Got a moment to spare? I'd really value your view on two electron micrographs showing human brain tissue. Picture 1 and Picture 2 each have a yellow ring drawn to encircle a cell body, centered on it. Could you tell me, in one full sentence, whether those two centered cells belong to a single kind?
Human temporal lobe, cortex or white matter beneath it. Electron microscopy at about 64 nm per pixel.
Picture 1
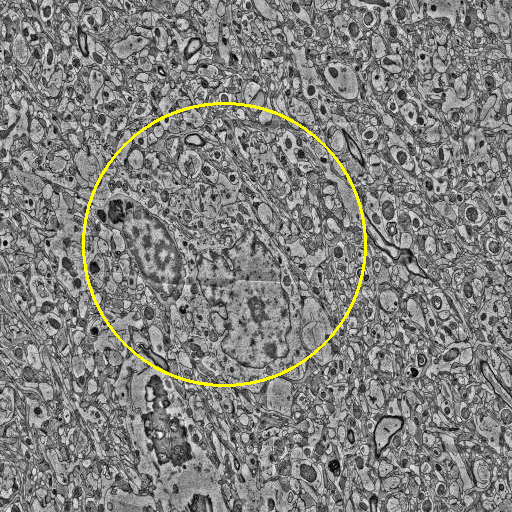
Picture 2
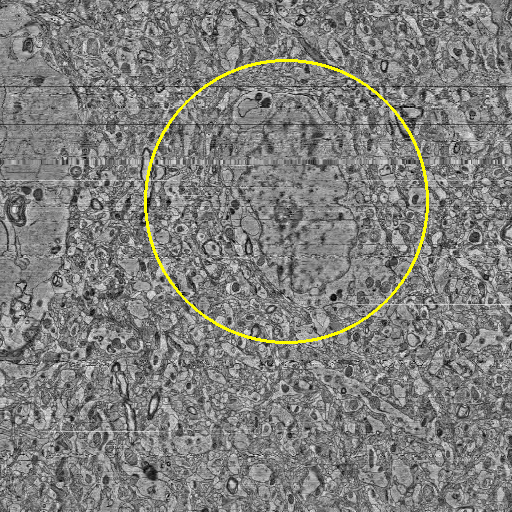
Yes, the two centered cells in Picture 1 and Picture 2 are of a single kind.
